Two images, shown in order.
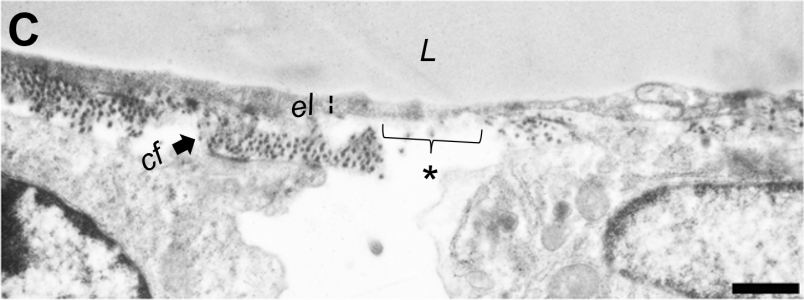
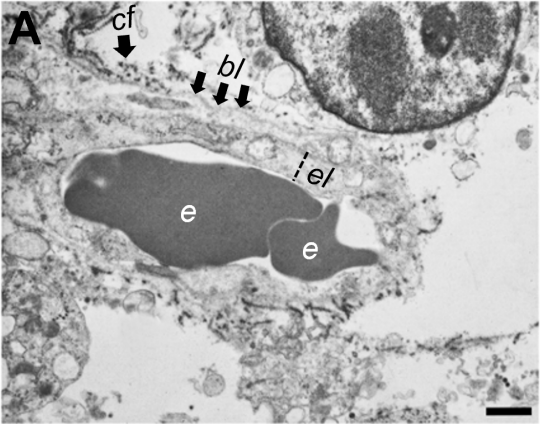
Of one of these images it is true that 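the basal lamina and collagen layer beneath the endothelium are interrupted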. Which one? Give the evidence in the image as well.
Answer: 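First image: the thin lining has a stretch where the band of fibrils beneath it is missing.
Conclusion: the first image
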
